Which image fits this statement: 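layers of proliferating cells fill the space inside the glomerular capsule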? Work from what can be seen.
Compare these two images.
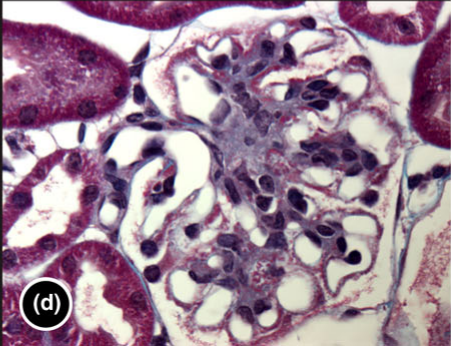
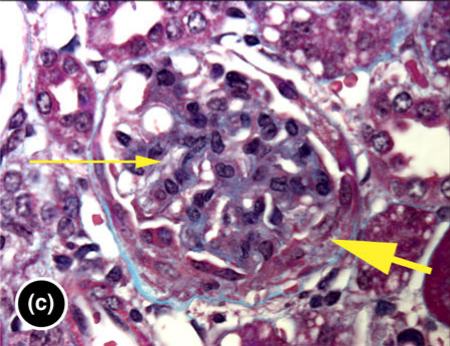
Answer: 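The second image. First image: the capillary loops are open and the space inside the capsule is clear. Second image: a layered cellular band lines the capsule and fills the space around the tuft.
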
